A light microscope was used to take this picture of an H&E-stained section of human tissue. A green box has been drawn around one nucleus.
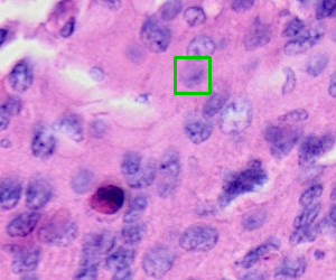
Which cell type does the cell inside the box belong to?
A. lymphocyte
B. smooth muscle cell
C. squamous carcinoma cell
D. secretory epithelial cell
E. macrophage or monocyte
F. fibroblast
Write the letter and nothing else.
C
